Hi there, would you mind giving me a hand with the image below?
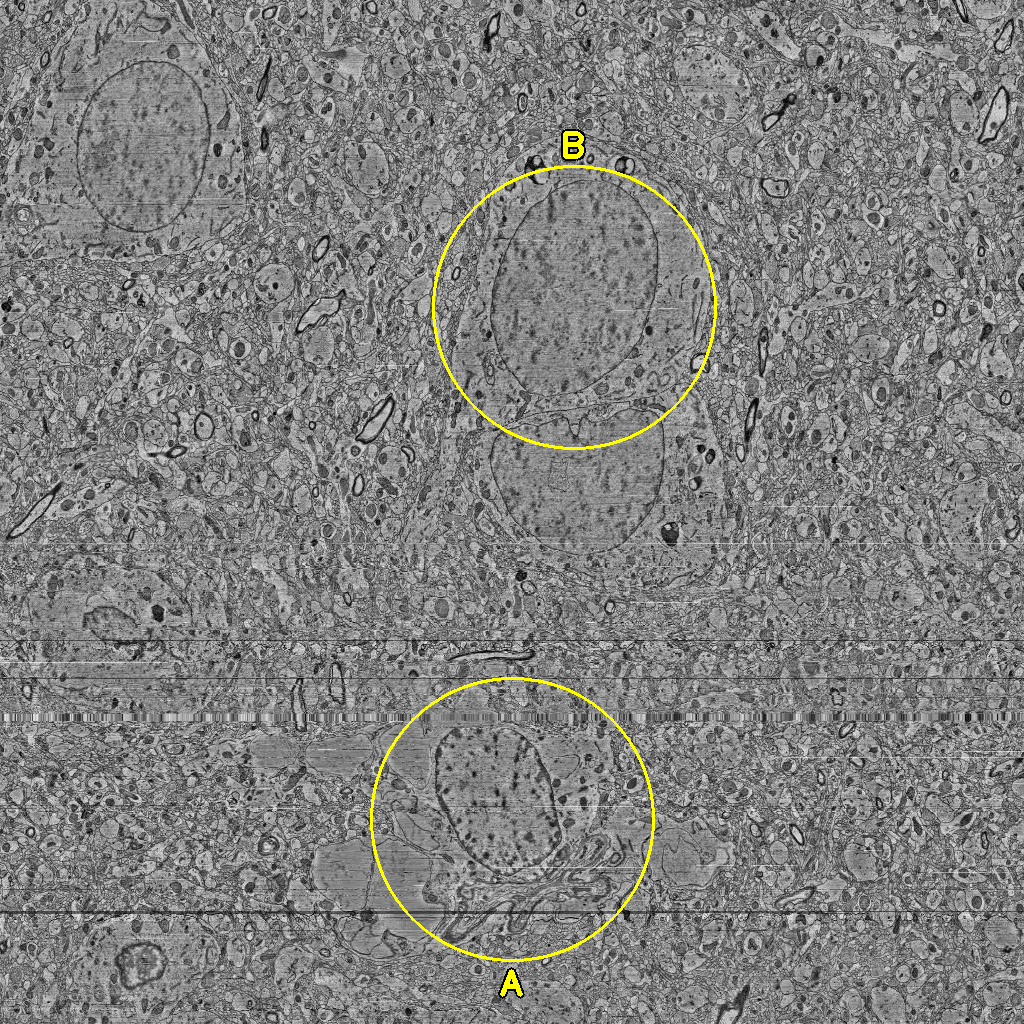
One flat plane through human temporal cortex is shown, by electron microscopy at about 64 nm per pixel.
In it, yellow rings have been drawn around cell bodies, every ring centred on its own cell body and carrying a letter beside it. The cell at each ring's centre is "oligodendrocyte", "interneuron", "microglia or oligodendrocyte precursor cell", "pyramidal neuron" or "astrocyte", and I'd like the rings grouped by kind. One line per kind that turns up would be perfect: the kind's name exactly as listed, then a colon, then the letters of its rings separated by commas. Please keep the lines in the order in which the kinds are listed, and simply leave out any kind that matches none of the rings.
pyramidal neuron: B
astrocyte: A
